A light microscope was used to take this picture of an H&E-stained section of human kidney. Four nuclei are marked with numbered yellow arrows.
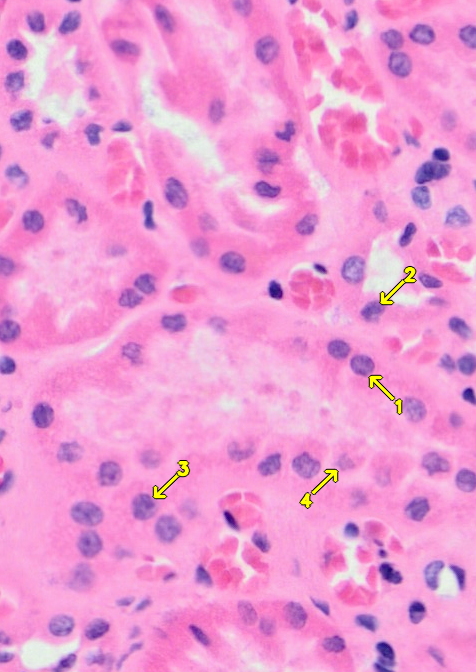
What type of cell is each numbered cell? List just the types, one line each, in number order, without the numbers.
proximal tubule cell
loop of Henle or distal tubule cell
proximal tubule cell
proximal tubule cell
